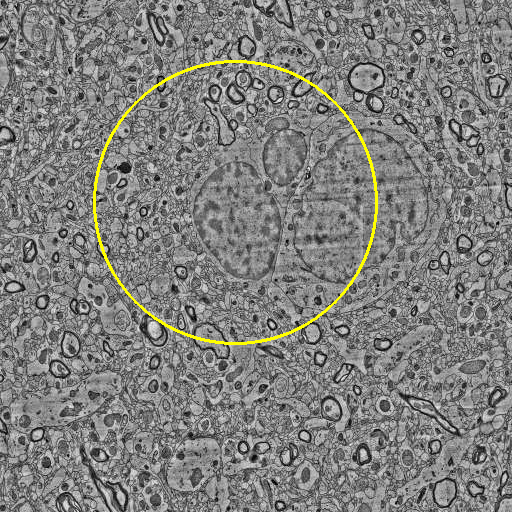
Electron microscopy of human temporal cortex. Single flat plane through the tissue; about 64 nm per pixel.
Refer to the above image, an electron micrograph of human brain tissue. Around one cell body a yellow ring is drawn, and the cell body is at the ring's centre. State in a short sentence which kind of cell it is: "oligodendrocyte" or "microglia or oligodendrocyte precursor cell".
The centre of the ring falls on an oligodendrocyte.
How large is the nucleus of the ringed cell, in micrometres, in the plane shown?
In this plane the nucleus measures roughly 7 by 5 micrometers.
